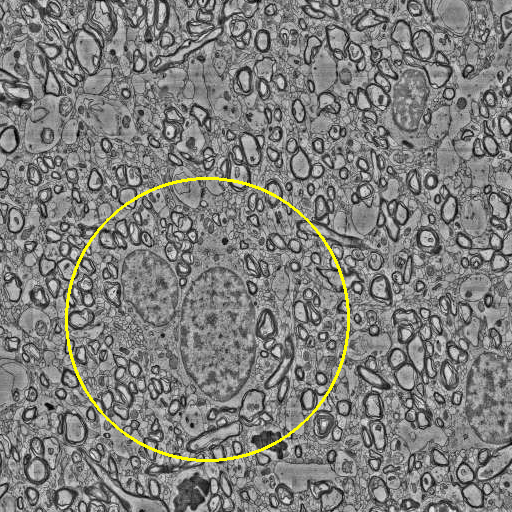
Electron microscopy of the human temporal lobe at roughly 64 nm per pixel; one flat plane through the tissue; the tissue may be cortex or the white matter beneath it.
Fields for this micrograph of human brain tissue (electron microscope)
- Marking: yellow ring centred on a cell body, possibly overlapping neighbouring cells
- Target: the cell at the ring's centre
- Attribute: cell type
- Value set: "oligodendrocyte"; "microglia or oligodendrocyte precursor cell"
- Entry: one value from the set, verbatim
oligodendrocyte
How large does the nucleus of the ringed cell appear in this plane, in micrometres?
The nucleus is about 8 micrometres in length and 5 in width, clearly longer than it is wide in this plane.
